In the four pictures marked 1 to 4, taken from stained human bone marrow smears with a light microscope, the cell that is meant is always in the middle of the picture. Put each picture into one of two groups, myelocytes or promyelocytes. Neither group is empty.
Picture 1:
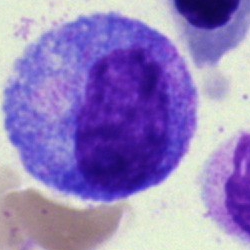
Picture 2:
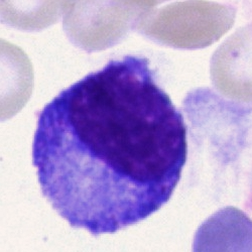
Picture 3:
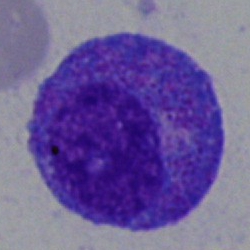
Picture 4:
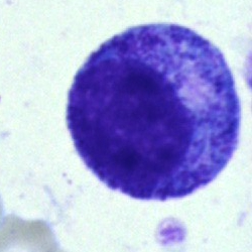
1: promyelocyte
2: promyelocyte
3: promyelocyte
4: myelocyte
